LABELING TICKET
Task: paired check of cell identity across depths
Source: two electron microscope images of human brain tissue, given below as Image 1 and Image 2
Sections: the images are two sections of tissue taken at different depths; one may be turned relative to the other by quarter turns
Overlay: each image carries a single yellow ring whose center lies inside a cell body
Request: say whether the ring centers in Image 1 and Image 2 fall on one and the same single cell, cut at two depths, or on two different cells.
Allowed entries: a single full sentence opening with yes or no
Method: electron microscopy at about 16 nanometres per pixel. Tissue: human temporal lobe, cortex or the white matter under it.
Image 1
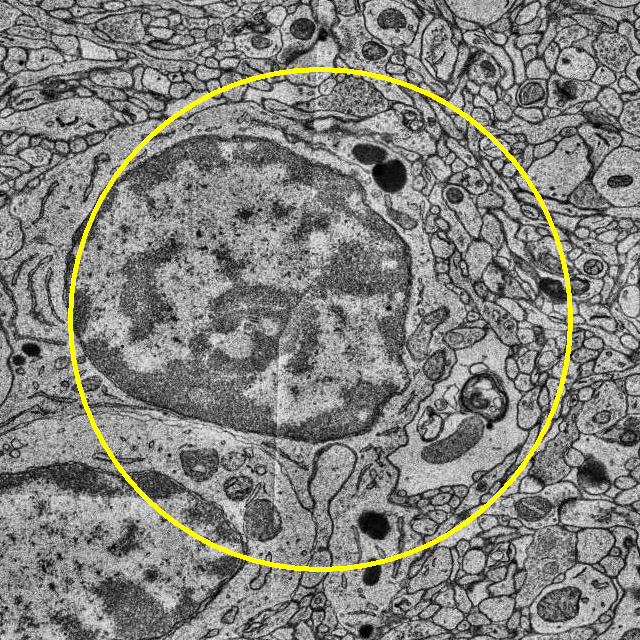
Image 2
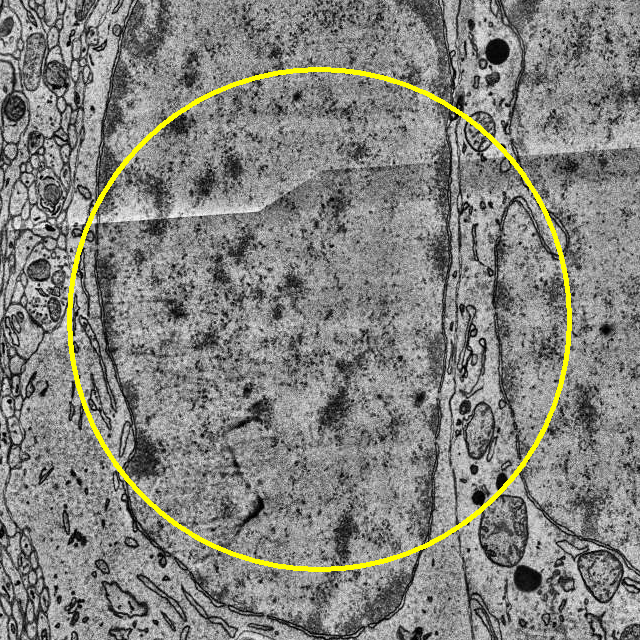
No, the two rings are not on the same cell.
